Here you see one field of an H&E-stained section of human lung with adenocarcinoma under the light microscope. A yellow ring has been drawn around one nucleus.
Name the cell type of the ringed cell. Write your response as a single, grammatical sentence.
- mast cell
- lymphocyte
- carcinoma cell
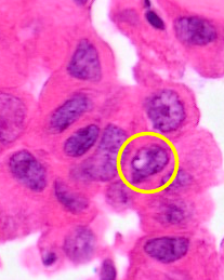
It is as a carcinoma cell that the ringed cell is recorded.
